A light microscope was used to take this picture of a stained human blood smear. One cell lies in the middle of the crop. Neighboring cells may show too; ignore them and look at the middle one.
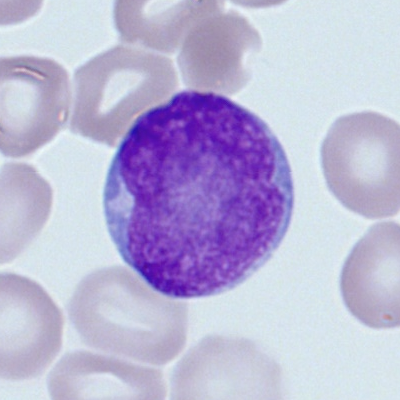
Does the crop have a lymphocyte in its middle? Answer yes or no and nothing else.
no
